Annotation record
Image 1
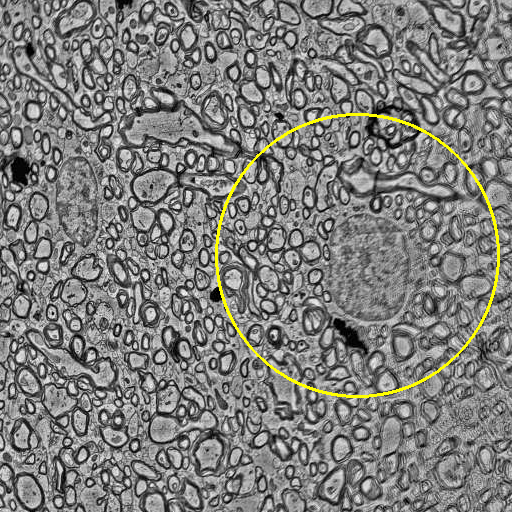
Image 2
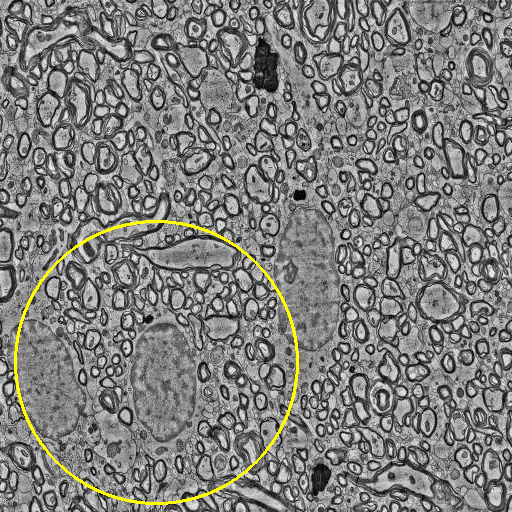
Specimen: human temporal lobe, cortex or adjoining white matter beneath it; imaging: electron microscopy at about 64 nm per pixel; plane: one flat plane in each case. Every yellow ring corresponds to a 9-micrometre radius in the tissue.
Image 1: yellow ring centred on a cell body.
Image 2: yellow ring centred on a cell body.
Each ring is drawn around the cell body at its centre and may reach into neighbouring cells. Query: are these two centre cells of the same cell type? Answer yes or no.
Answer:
yes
